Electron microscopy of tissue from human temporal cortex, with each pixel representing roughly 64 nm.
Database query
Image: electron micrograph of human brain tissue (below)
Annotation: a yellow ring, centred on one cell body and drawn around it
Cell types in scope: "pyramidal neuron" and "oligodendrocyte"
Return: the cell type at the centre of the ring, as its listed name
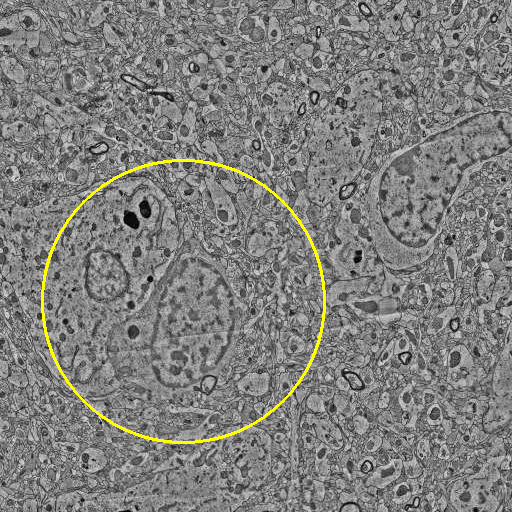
oligodendrocyte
